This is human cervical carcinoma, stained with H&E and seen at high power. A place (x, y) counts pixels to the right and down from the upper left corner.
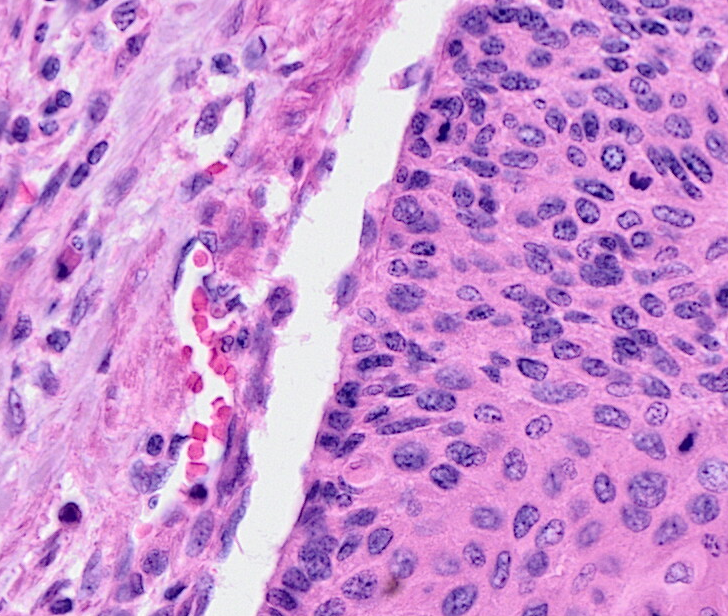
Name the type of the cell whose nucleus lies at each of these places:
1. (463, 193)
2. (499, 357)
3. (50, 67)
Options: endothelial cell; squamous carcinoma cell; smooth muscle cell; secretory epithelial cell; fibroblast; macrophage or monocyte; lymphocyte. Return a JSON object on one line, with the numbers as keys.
{"1": "squamous carcinoma cell", "2": "squamous carcinoma cell", "3": "lymphocyte"}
